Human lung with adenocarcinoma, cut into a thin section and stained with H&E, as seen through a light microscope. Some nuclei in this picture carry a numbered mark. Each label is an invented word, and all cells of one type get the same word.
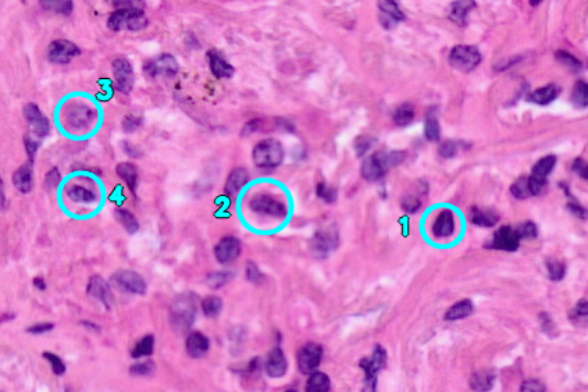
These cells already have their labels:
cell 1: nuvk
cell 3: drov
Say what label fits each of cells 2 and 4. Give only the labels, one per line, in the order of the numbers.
drov
nuvk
